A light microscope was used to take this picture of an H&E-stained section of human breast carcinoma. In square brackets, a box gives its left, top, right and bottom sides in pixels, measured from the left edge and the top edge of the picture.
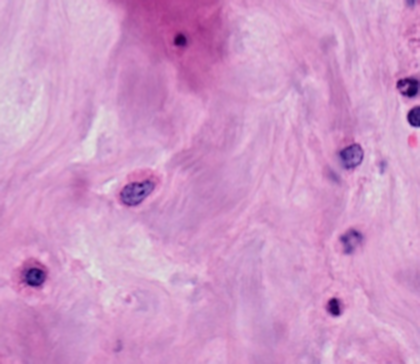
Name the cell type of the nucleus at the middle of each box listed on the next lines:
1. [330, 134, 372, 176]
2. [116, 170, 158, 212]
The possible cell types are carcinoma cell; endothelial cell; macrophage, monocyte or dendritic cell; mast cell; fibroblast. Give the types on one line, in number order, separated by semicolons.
macrophage, monocyte or dendritic cell; mast cell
